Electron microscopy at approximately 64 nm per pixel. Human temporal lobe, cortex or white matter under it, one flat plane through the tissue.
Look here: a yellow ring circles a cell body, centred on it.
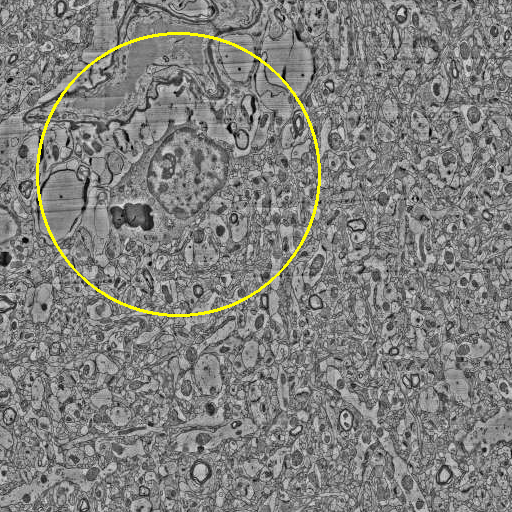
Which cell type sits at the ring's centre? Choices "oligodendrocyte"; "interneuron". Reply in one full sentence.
The cell at the centre of the yellow ring in the picture is an oligodendrocyte.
